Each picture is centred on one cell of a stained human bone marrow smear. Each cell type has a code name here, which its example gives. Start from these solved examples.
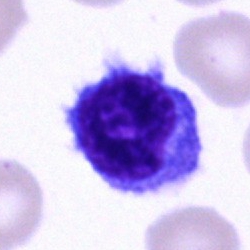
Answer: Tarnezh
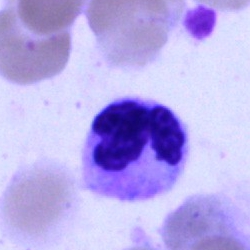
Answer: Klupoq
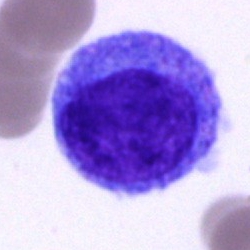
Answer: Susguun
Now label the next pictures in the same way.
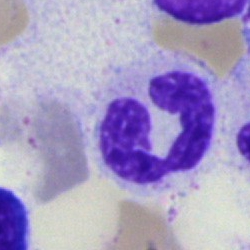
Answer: Klupoq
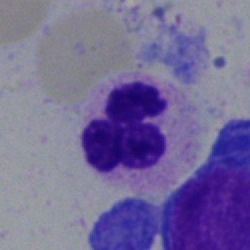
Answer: Klupoq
